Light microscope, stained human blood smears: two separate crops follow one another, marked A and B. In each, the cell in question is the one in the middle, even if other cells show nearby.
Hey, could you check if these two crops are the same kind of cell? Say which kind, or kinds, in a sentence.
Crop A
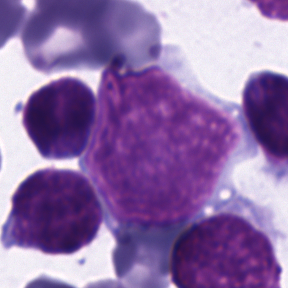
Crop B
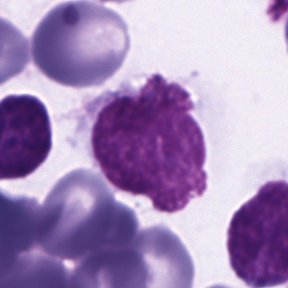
No, crop A offers a myeloblast, while crop B offers a smudge cell.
